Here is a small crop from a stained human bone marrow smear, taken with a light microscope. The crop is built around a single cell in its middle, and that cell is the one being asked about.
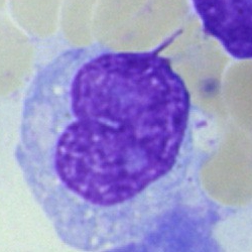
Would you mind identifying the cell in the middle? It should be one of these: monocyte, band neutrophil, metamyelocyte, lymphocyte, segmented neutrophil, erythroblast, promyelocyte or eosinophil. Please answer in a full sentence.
The cell in the exact centre of the crop is a monocyte.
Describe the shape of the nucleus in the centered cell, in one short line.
The nucleus amounts to one compact mass with a round, oval or kidney-shaped outline.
